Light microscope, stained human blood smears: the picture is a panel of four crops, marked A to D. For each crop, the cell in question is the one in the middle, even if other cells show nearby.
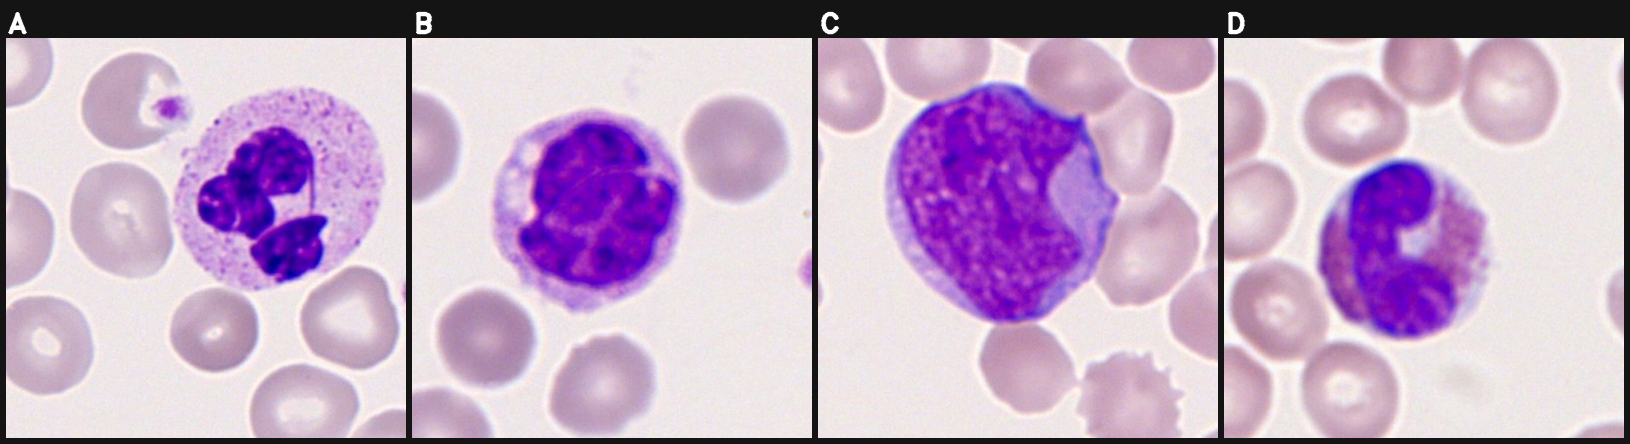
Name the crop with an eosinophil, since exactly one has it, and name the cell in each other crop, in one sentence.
The centred cell in crop D is an eosinophil; meanwhile, crop A is a segmented neutrophil, crop B is a monocyte and crop C is a myeloblast.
